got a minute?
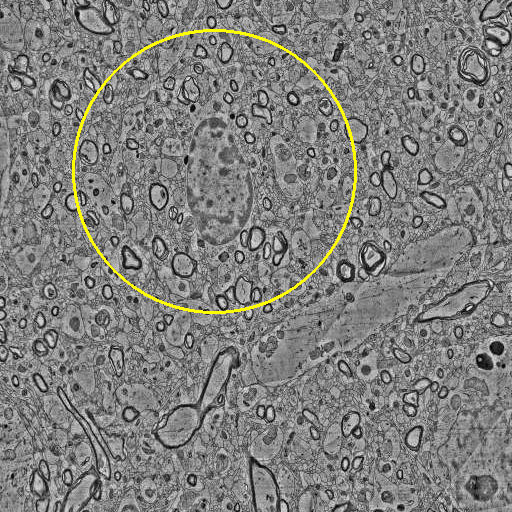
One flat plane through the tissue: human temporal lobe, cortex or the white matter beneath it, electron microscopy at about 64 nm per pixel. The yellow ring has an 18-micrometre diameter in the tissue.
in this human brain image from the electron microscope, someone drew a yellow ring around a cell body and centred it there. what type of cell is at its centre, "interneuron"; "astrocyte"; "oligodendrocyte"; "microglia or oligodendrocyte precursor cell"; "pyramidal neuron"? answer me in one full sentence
It's a microglial cell or oligodendrocyte precursor cell at the middle of that yellow ring in the shot.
